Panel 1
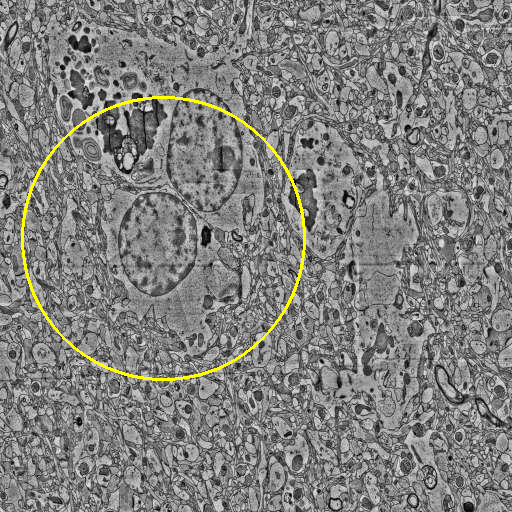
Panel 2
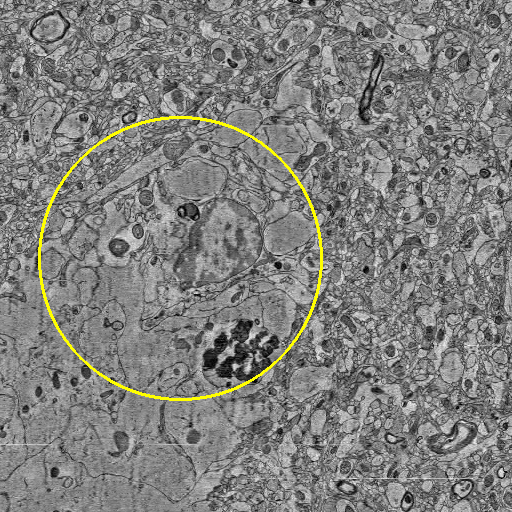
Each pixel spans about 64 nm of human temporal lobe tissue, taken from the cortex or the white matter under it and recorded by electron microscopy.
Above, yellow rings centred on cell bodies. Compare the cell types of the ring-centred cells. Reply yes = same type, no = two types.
no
